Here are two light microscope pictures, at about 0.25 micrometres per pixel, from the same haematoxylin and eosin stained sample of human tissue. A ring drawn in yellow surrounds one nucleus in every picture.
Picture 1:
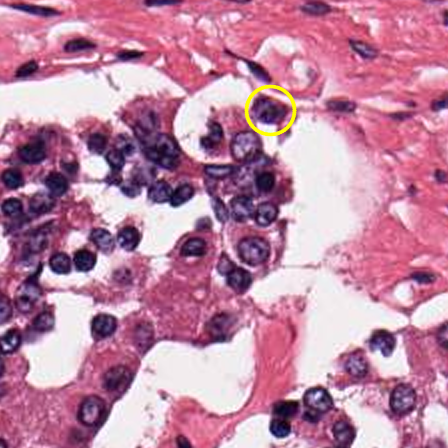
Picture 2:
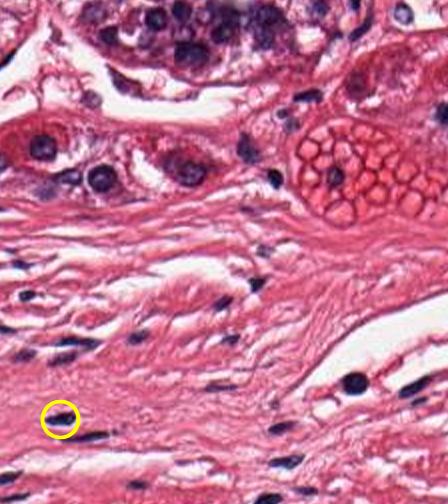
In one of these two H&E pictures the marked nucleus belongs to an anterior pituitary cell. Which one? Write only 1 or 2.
1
